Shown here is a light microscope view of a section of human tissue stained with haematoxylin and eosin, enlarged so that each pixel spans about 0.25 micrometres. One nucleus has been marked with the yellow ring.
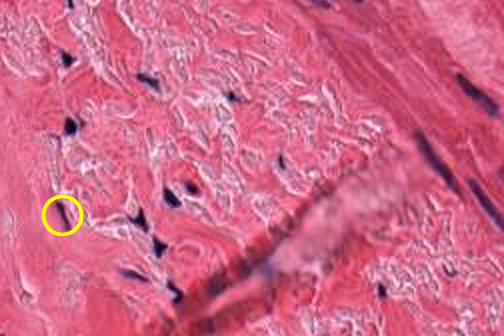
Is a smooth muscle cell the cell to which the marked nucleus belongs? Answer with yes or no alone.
no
